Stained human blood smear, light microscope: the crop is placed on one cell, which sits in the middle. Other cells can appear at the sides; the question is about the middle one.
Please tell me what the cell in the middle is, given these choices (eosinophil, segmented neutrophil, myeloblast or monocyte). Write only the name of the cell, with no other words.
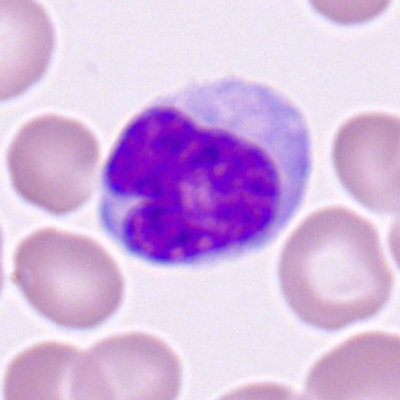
monocyte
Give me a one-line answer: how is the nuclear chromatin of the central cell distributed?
The nucleus shows chromatin that is coarsely clumped.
